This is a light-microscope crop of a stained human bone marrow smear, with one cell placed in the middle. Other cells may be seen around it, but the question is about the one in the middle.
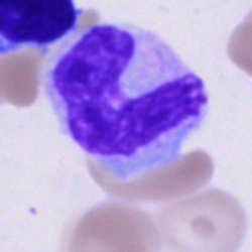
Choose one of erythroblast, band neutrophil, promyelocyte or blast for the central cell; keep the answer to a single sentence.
The central cell in this smear crop is a band neutrophil.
